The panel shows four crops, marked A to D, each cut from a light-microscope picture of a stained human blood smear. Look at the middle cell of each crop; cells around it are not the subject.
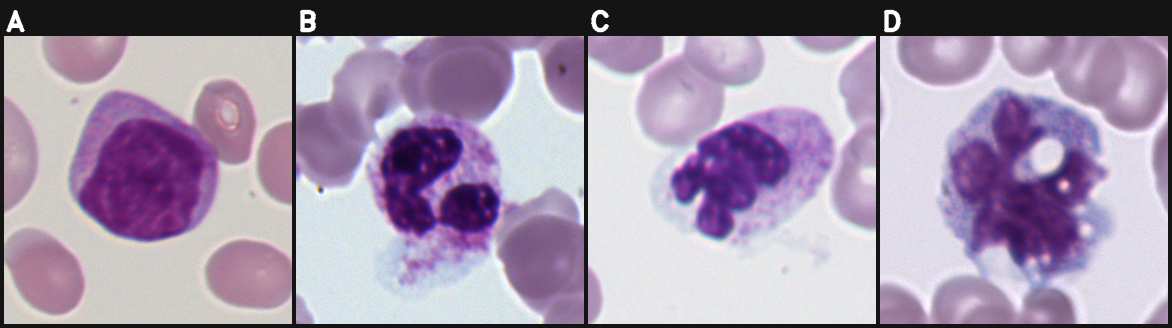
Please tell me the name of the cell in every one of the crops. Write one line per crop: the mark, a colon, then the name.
A: atypical promyelocyte
B: segmented neutrophil
C: segmented neutrophil
D: monocyte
